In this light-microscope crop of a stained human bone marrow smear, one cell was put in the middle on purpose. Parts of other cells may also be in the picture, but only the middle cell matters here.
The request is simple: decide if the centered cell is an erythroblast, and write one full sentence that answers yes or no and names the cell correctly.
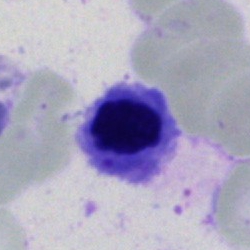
Yes, that middle cell in the crop is an erythroblast.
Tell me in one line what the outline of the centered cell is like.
The cell membrane follows an uneven contour, either ragged or bearing projections.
